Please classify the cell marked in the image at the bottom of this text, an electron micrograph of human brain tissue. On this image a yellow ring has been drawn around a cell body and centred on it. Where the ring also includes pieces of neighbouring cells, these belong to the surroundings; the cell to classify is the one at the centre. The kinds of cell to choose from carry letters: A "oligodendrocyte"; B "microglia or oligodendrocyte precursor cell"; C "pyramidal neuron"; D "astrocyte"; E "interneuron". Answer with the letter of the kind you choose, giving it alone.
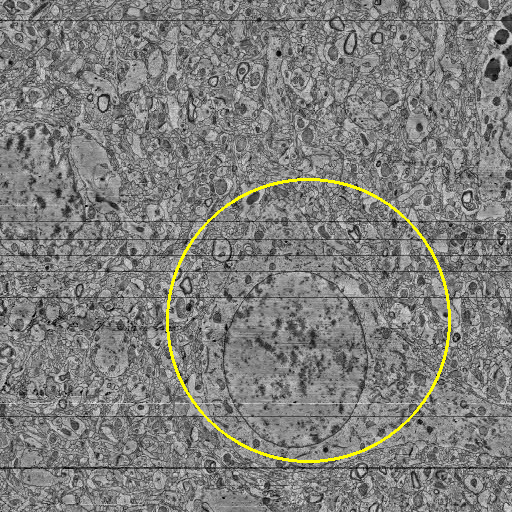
C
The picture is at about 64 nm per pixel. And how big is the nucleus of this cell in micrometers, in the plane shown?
In this plane the nucleus spans approximately 12 by 9 micrometers.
